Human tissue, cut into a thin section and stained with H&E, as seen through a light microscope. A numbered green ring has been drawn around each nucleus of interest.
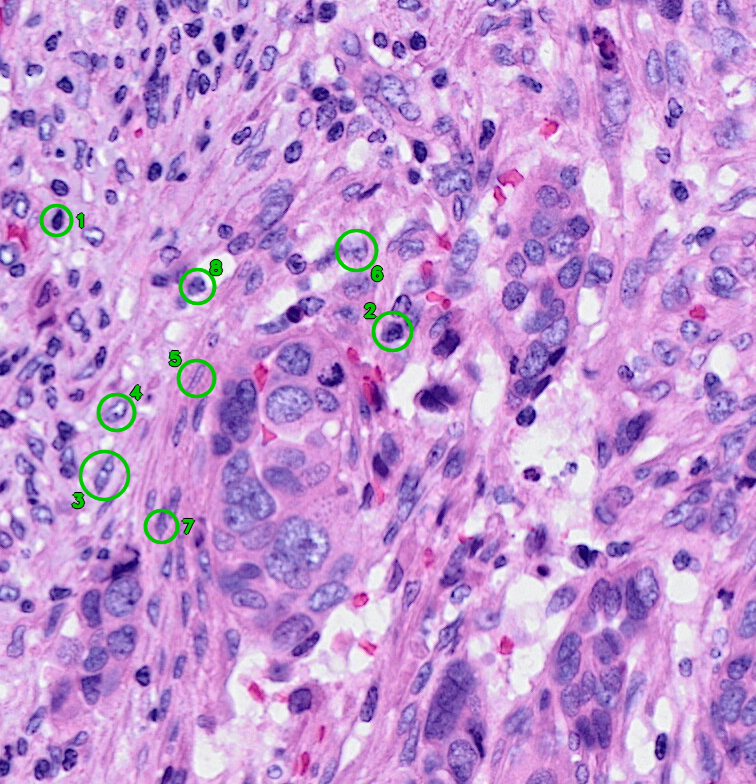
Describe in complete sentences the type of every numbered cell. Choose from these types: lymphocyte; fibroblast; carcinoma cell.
Cells 1, 2 and 8 are lymphocytes. Cells 3, 4, 5, 6 and 7 are fibroblasts.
